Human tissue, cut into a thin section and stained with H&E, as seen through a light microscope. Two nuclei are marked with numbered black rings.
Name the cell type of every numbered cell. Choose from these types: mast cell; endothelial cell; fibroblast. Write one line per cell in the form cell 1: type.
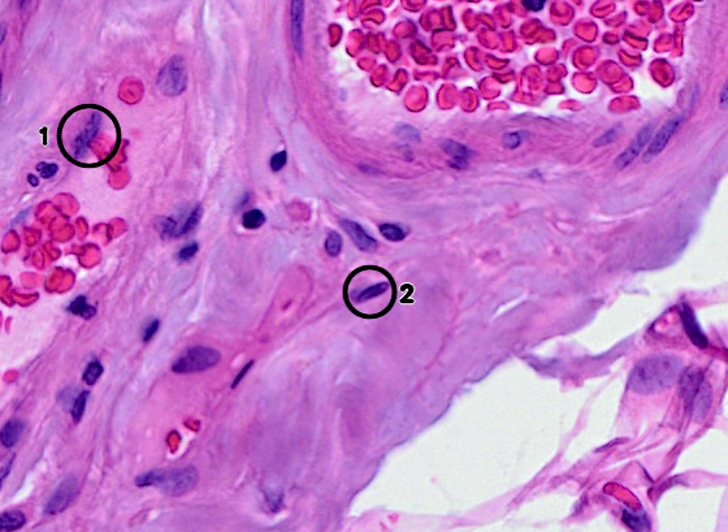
cell 1: endothelial cell
cell 2: fibroblast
